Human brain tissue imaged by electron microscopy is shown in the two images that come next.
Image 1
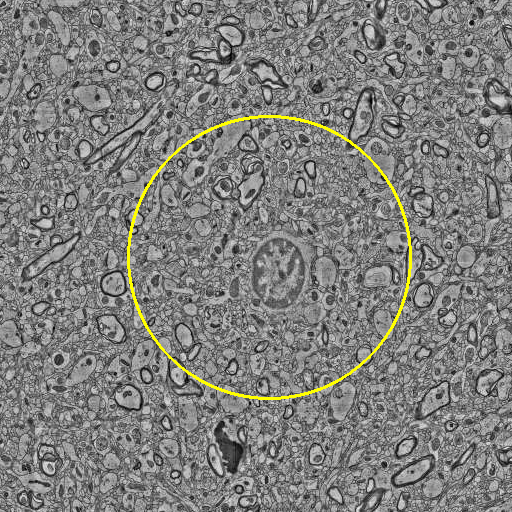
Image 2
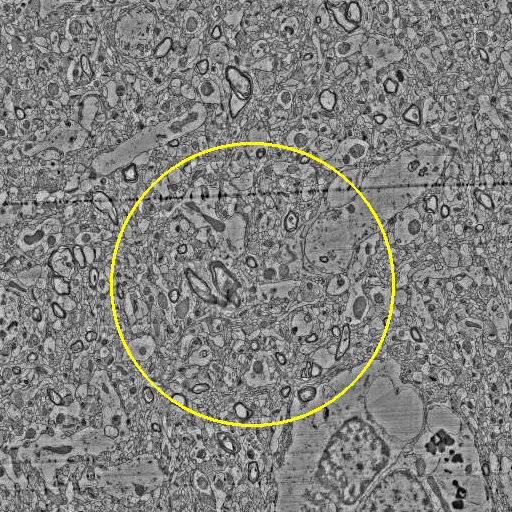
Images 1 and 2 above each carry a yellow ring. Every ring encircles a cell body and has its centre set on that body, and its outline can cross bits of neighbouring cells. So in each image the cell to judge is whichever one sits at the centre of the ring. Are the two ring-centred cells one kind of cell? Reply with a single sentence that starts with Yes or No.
No, in Image 1 and Image 2 the cells at the centres of their rings fall into two types.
